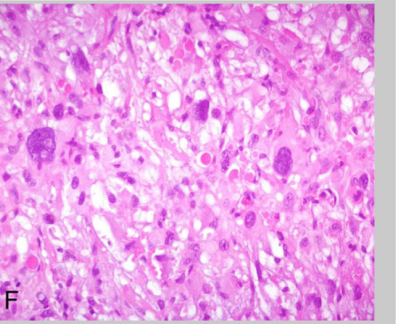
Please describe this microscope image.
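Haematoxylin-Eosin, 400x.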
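This is a malignant tumour made up of pleomorphic cells, among which are large multinucleated cells. The cells have pink cytoplasm and nuclei that vary widely in size and shape, some being large, dark and lobulated. Clear vacuolated spaces lie between the cells.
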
